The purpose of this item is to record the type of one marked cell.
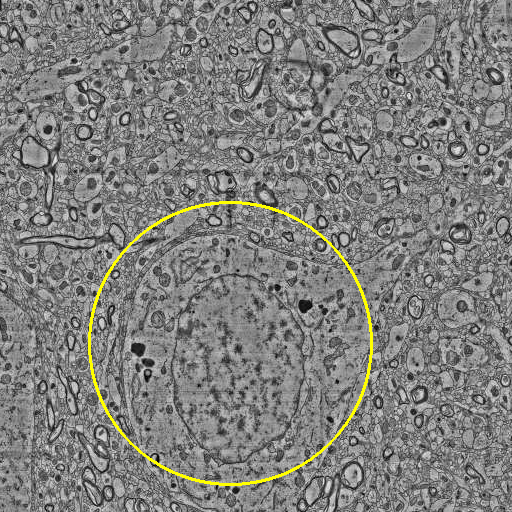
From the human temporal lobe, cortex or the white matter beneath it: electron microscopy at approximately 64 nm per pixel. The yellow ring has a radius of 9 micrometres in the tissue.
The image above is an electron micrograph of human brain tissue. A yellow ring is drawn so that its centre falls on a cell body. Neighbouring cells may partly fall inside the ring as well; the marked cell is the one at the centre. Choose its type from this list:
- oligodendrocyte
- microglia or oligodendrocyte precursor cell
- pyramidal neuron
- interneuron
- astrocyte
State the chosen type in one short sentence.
What the ring marks here is a pyramidal neuron.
